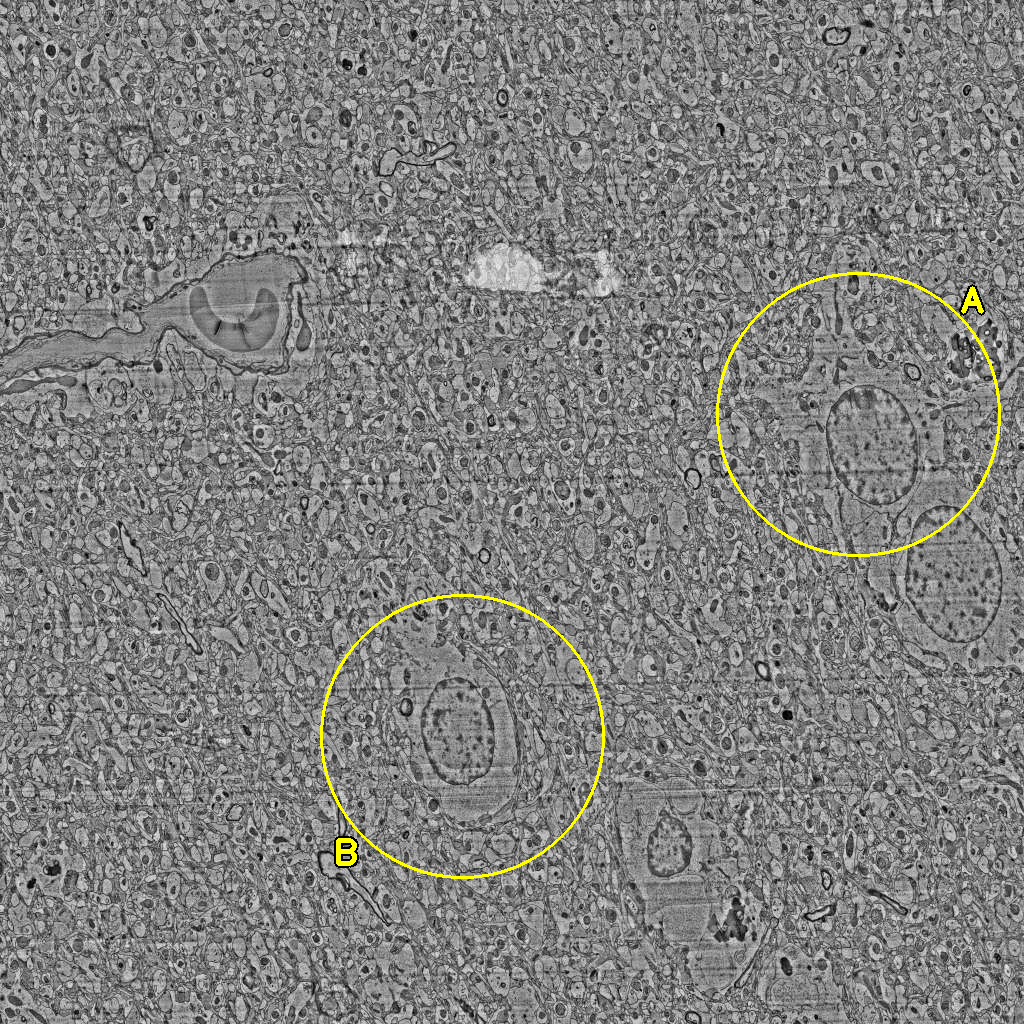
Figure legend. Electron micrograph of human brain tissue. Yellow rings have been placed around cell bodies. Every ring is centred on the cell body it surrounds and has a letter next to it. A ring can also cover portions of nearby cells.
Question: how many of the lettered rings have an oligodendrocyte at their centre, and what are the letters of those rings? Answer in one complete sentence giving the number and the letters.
With no ring centred on an oligodendrocyte, the resulting count is zero.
